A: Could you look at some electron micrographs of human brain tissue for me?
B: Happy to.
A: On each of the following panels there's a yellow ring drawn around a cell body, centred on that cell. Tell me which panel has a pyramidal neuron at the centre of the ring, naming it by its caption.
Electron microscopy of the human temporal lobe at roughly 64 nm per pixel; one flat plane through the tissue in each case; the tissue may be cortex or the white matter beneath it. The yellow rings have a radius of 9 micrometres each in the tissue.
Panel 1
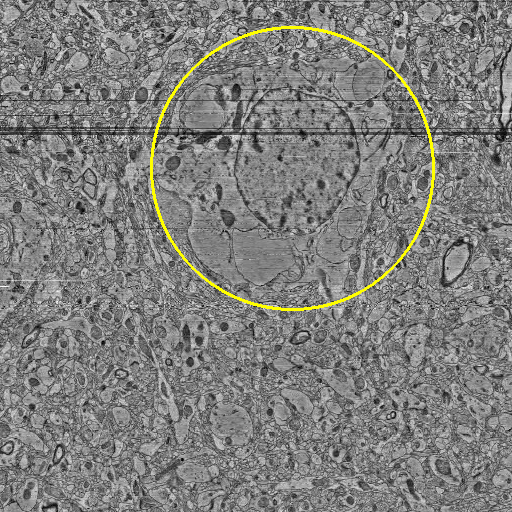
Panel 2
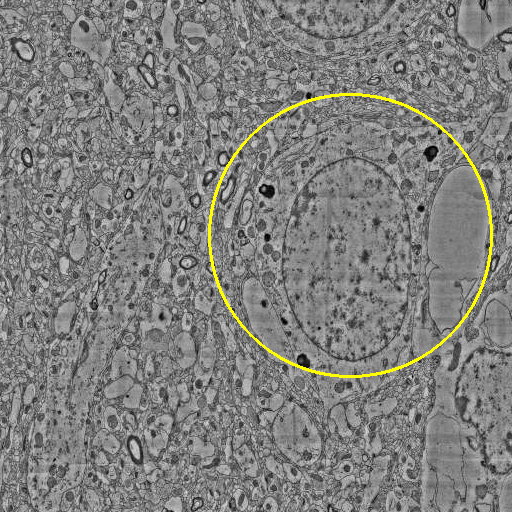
Panel 2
